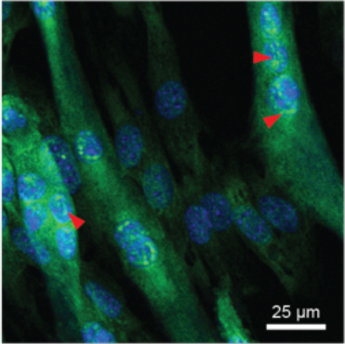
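Myotubes in a crowded culture, seen at high magnification: wide, elongated cells crossing the field, their cytoplasm bright with diffuse green signal that is uneven, stronger in some cells than others. Oval blue nuclei, many per field, lie inside the cells, several grouped close together in single cells. Many nuclei look green-tinged, and small bright green dots lie on or beside some of them.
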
